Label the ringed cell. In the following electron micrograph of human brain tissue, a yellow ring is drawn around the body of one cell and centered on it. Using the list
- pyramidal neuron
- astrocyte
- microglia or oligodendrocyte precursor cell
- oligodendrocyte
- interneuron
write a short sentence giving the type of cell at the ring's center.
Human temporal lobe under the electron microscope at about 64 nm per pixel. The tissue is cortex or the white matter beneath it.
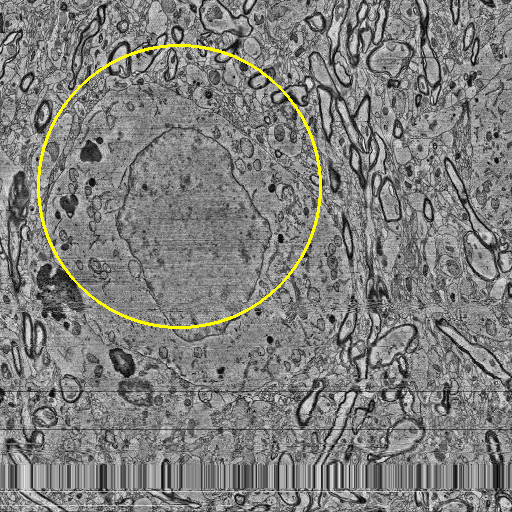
The cell body at the ring's center is that of a pyramidal neuron.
